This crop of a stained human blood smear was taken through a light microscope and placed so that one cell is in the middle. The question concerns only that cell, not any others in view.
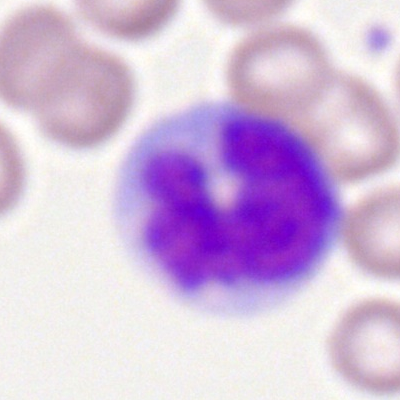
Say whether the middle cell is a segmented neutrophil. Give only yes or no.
no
